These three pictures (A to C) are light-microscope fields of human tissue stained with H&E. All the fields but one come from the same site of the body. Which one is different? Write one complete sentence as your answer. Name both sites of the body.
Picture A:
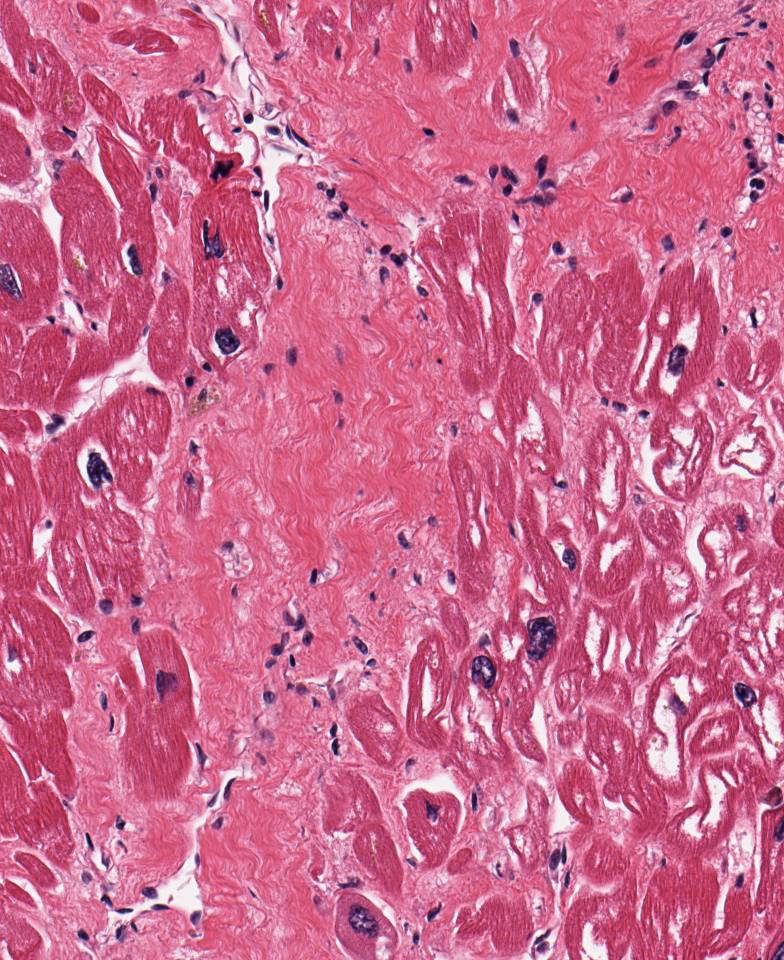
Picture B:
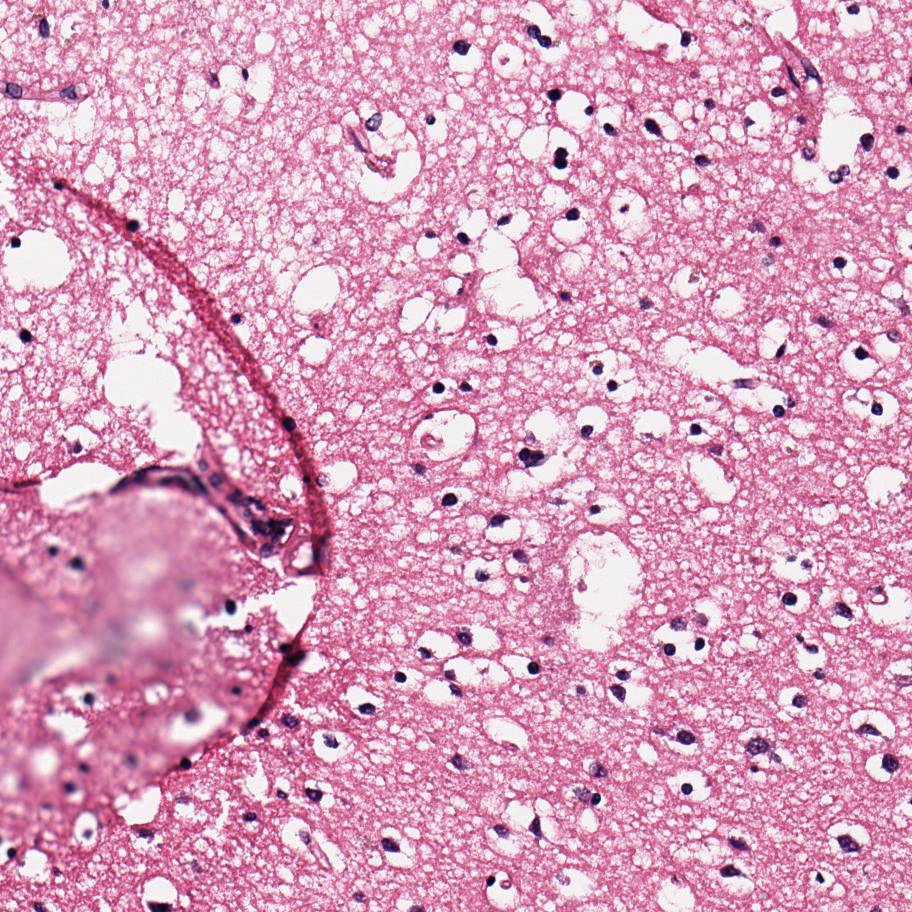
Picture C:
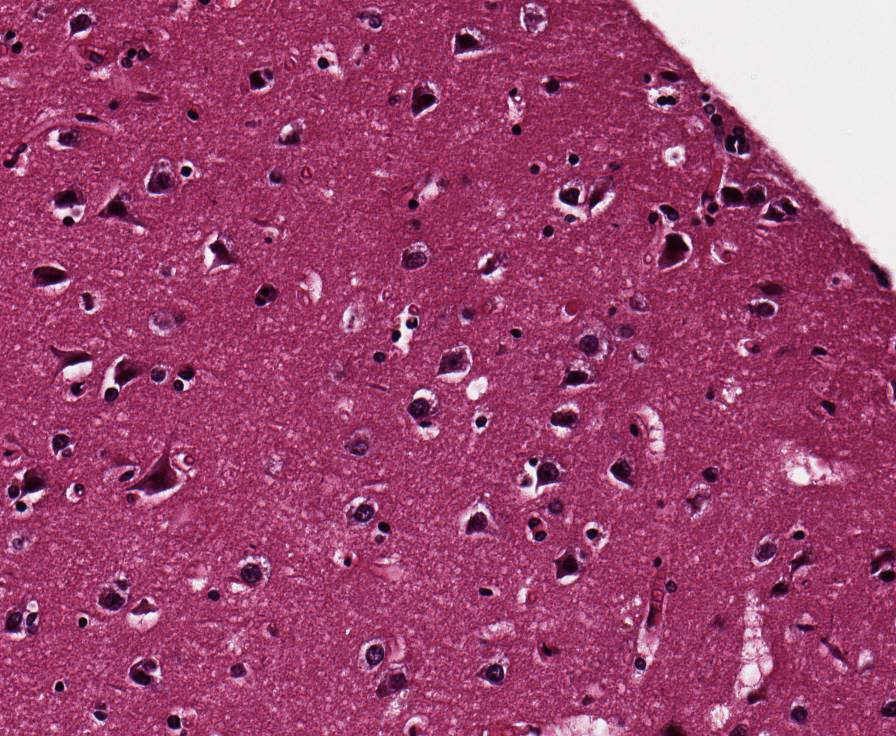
Unlike the rest, which come from the cerebral cortex, picture A comes from the left ventricle of the heart.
